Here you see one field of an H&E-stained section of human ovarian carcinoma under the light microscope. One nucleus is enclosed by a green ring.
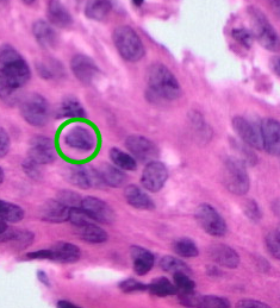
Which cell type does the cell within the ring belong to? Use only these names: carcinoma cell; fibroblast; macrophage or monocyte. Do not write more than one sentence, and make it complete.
As far as its identity is concerned, the cell within the ring is a macrophage or monocyte.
